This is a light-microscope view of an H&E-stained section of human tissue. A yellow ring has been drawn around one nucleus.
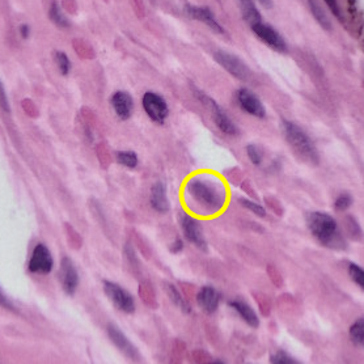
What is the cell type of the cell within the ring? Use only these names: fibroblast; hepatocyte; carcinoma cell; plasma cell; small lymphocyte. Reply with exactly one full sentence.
As to its cell type, the cell within the ring is a fibroblast.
